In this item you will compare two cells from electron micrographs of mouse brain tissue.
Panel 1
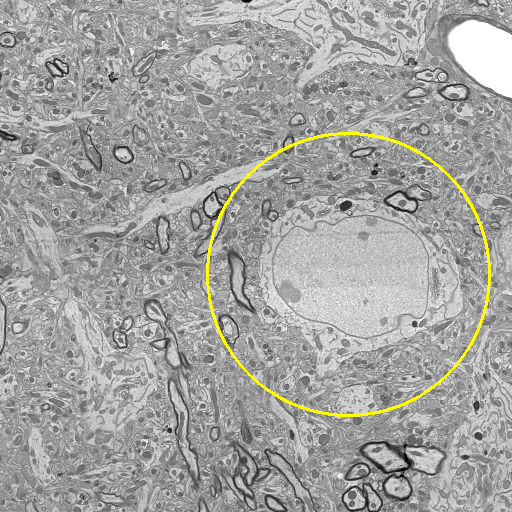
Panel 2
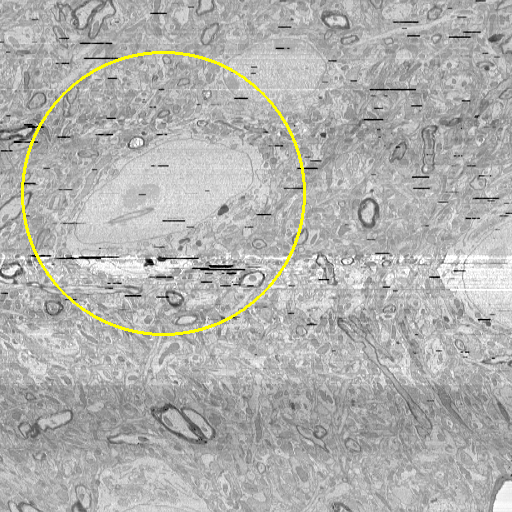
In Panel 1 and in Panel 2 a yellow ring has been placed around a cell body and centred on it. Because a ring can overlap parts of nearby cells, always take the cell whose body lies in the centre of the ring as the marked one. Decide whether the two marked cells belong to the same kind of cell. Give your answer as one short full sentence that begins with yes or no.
Yes, the two marked cells belong to the same kind of cell.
